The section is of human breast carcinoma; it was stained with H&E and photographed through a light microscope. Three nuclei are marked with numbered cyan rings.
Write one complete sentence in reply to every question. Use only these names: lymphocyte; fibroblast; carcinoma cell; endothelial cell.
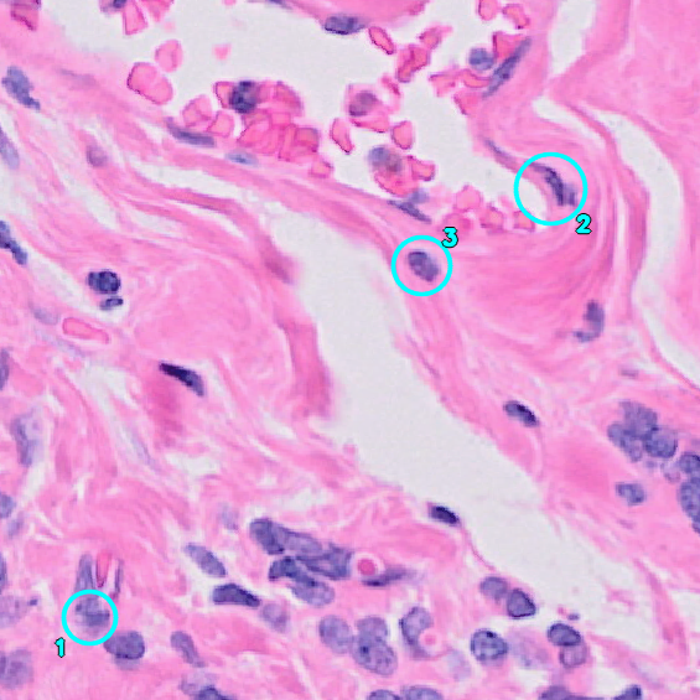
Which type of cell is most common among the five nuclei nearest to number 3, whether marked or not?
Of the five nuclei nearest to number 3, most belong to endothelial cells.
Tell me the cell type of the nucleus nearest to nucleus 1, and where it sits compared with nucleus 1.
Just above nucleus 1 lies the nearest nucleus, which belongs to an endothelial cell.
